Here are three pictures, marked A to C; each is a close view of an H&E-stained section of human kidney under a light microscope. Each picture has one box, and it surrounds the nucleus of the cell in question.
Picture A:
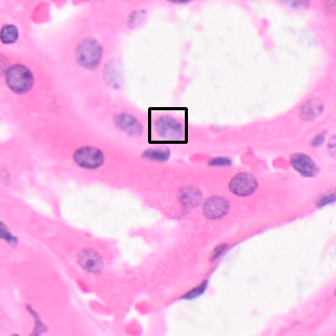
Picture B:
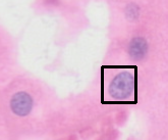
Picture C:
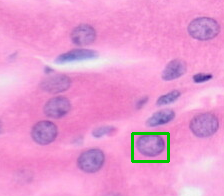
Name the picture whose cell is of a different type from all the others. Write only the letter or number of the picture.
A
